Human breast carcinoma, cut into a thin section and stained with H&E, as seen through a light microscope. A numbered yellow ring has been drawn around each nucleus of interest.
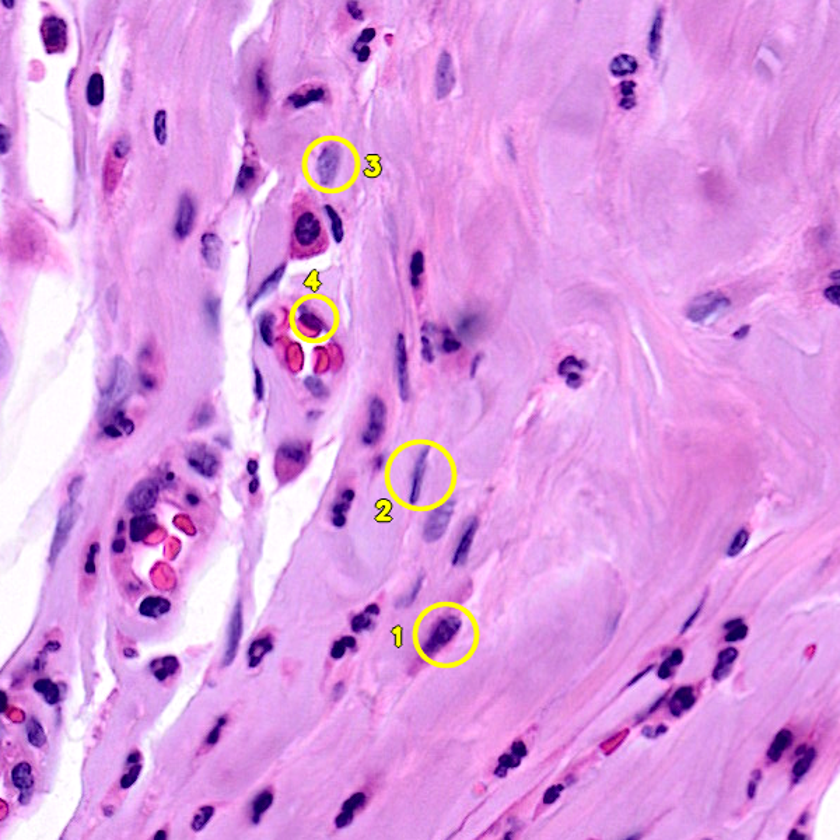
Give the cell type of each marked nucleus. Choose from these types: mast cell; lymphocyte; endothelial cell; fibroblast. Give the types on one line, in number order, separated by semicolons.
mast cell; fibroblast; fibroblast; endothelial cell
